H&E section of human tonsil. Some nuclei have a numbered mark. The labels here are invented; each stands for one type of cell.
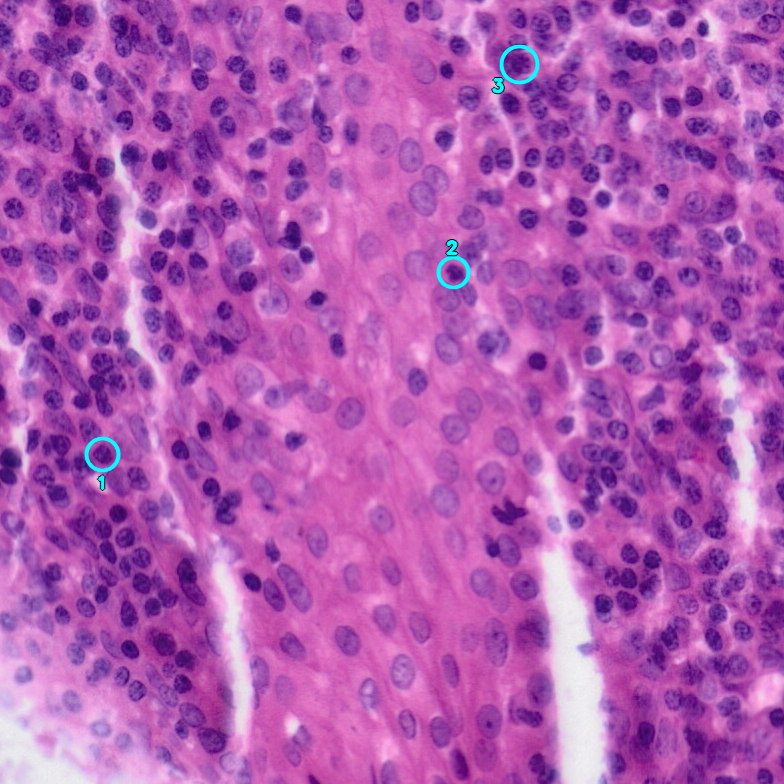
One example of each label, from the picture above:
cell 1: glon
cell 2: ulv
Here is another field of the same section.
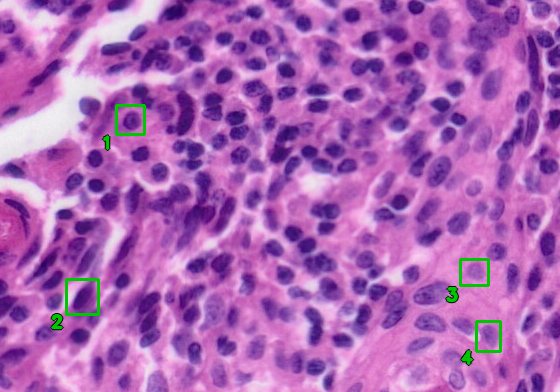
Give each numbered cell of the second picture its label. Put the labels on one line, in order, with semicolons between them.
glon; ulv; ulv; ulv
